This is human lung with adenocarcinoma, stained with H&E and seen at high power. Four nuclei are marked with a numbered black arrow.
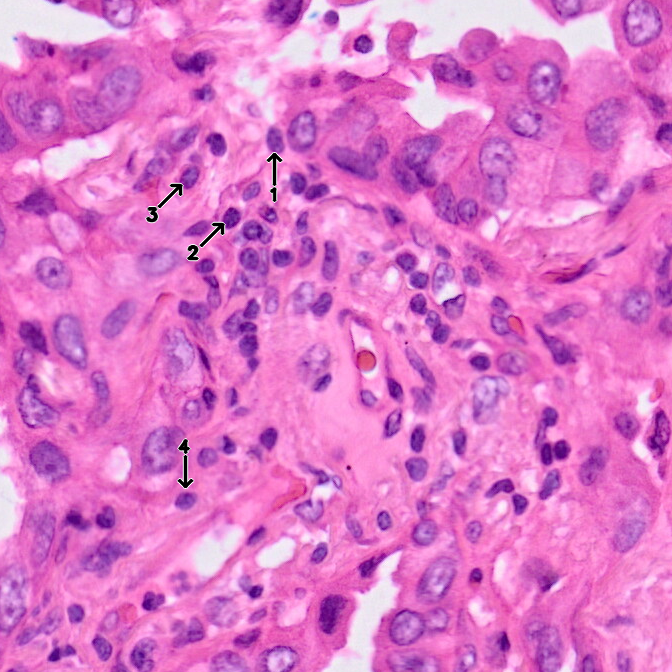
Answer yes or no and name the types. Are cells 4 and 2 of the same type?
Yes, cell 4 is one of the lymphocytes, and so is cell 2.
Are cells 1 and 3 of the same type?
No, hold on, cell 1 is a lymphocyte and cell 3 is a mast cell.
